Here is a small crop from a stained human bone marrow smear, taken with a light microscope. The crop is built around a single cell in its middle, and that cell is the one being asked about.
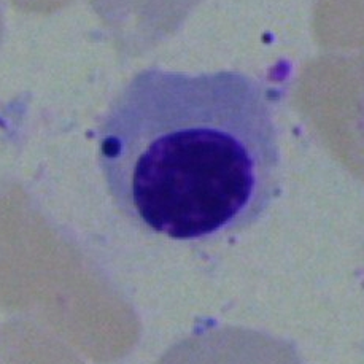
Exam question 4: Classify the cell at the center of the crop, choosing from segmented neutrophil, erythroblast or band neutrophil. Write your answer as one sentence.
The middle position in this crop is taken by an erythroblast.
